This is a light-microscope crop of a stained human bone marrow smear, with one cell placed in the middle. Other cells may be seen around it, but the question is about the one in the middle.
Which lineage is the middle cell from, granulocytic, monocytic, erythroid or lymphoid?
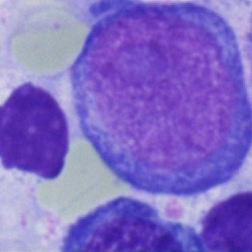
erythroid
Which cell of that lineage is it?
proerythroblast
